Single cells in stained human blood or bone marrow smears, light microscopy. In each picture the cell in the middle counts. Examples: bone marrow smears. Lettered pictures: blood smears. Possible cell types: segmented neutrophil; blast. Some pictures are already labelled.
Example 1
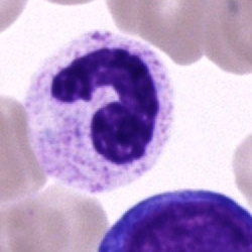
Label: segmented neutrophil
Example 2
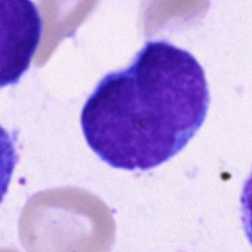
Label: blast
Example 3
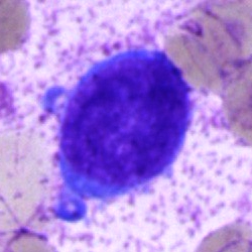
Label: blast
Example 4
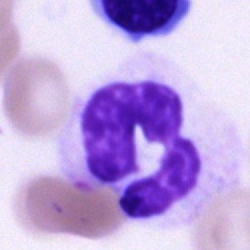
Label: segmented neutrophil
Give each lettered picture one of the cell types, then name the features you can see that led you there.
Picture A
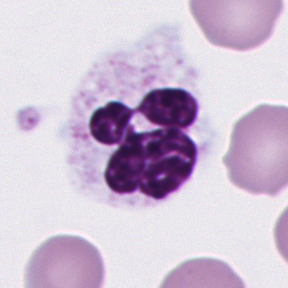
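segmented neutrophil: The cytoplasm is abundant and very pale.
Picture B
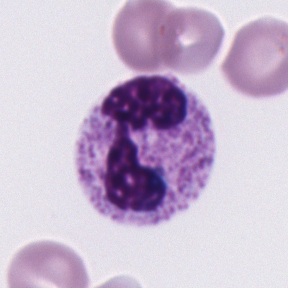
segmented neutrophil: The nucleus forms an upper and a lower lobe joined by a narrower band on the left side.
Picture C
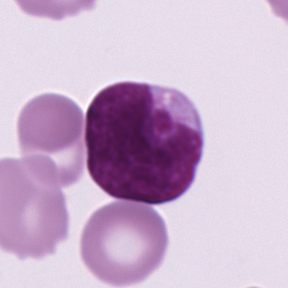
blast: The visible cytoplasm is a small, pale lilac patch confined to the upper right.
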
